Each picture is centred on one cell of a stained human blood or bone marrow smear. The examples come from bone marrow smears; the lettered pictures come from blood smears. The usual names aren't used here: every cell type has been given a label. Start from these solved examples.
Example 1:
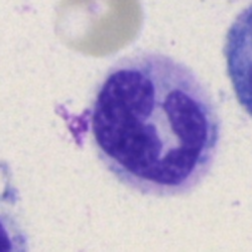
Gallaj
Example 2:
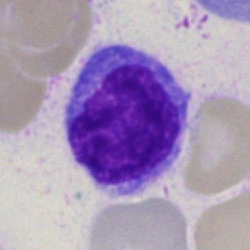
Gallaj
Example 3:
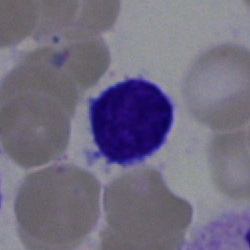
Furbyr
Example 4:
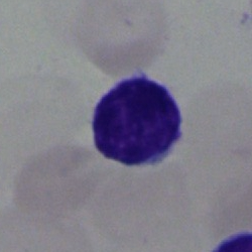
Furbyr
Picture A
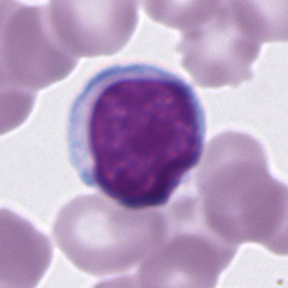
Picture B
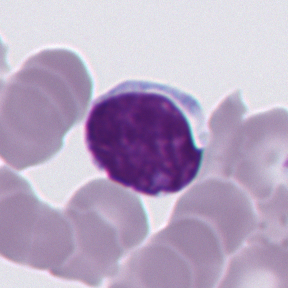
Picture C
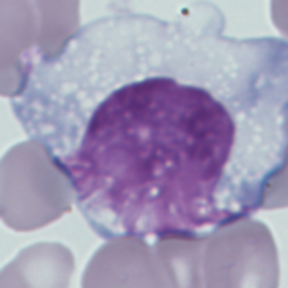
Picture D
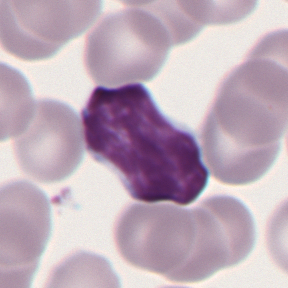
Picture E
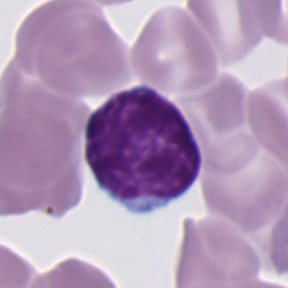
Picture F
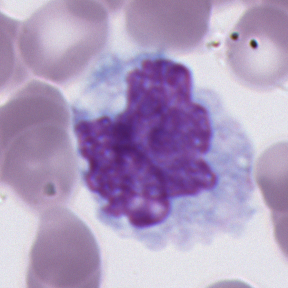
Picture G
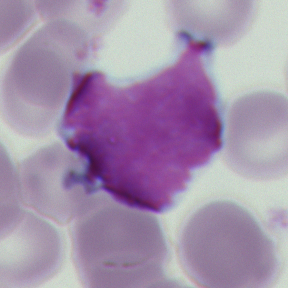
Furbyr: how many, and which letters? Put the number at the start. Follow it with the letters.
5, namely A, B, D, E, G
